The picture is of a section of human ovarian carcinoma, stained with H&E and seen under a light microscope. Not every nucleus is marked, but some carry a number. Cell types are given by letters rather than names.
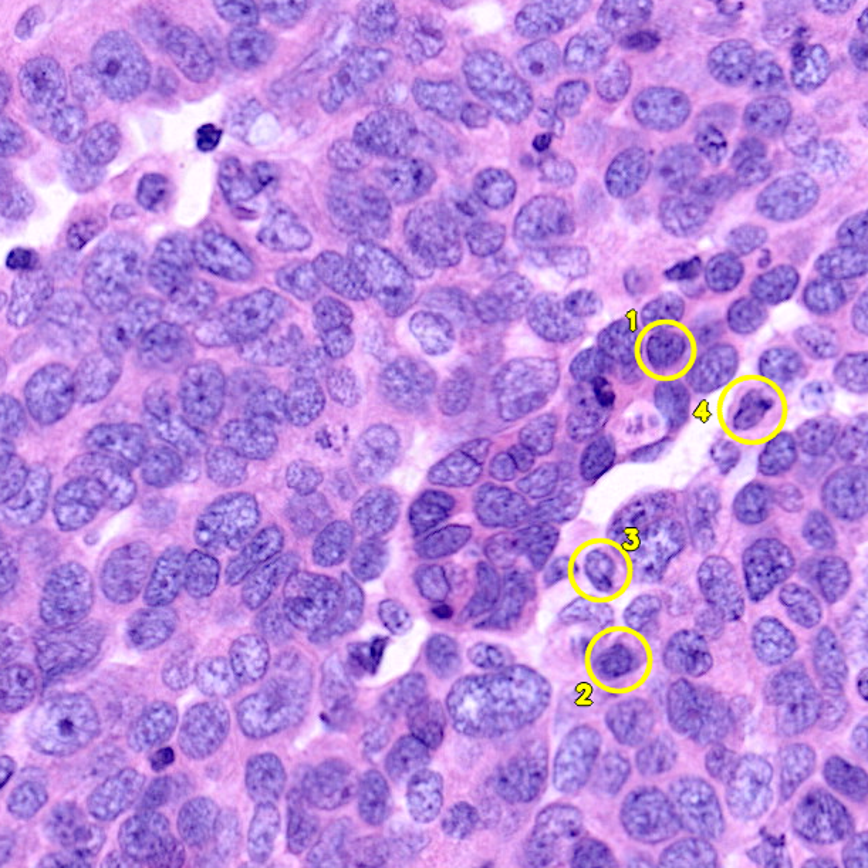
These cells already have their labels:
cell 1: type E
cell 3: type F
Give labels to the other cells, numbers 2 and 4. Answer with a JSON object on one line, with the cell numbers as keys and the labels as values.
{"2": "type E", "4": "type F"}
